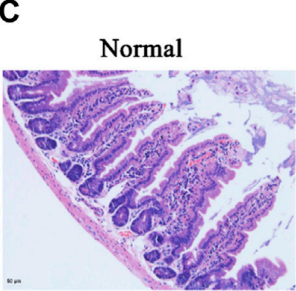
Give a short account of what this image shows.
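This section of small intestine shows tall, slender, finger-like villi projecting into the lumen, each covered by a single layer of columnar epithelium. The epithelial nuclei stain dark purple and line up near the base of the cells, while each villus has a pale pink core of connective tissue. At the base of the villi, tubular crypts crowded with purple-staining cells lie side by side. Beneath the mucosa a continuous band of pink-staining smooth muscle forms the outer wall. The villi are regular and closely packed, giving the mucosa an orderly, comb-like look.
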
